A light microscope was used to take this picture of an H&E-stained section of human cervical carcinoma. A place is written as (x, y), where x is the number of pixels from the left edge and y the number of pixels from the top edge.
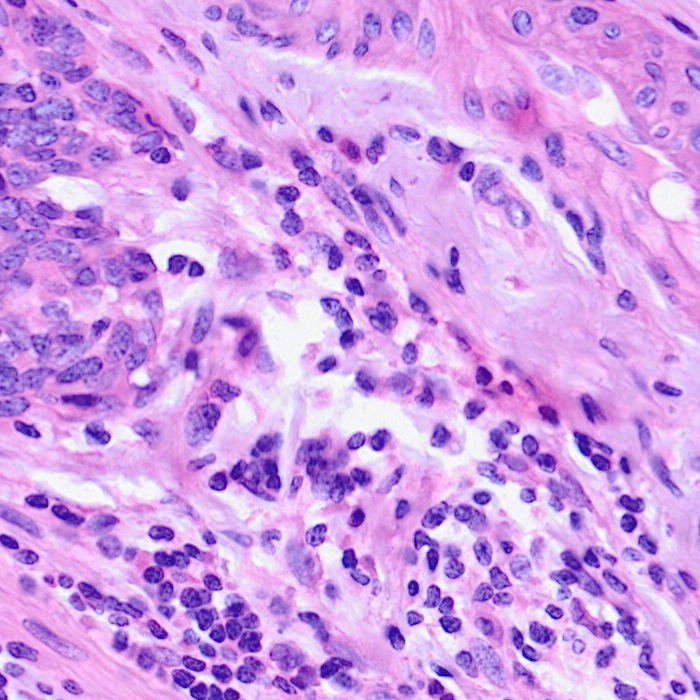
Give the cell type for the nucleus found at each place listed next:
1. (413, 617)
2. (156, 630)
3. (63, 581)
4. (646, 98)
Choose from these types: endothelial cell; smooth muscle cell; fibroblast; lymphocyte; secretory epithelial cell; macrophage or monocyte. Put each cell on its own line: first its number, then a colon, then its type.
1: lymphocyte
2: lymphocyte
3: lymphocyte
4: smooth muscle cell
